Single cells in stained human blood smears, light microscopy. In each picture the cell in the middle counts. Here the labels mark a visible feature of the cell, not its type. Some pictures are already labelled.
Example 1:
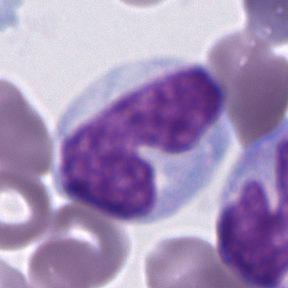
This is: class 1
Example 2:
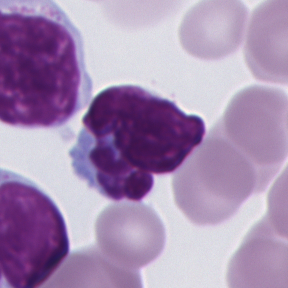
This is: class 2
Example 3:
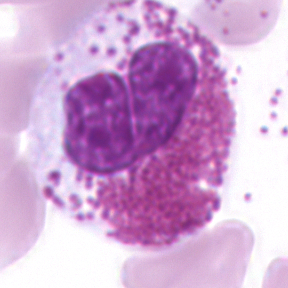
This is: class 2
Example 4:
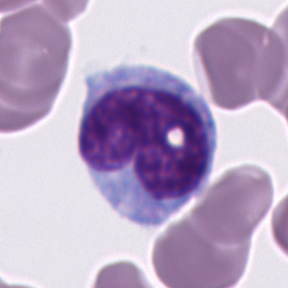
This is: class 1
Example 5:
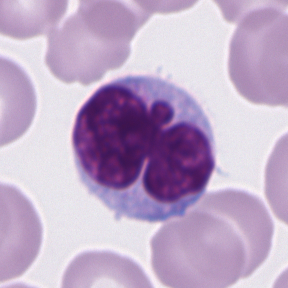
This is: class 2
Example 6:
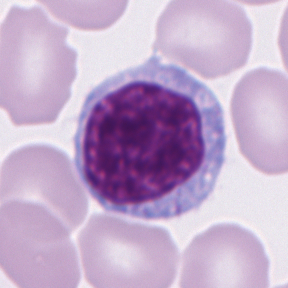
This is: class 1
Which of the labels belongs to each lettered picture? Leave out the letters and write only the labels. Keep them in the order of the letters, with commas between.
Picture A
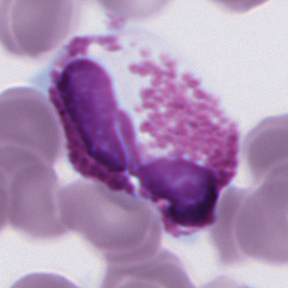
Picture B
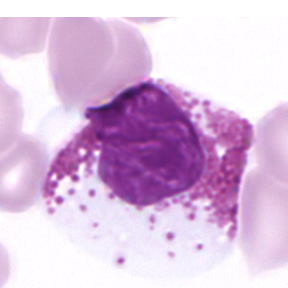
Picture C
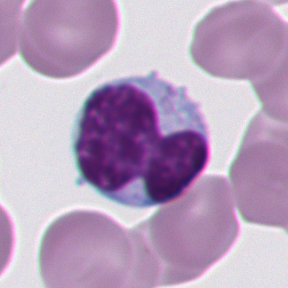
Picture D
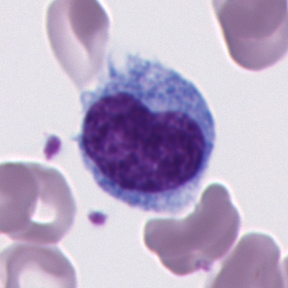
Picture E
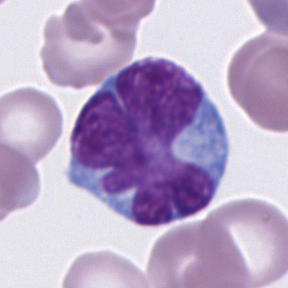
class 2, class 1, class 2, class 1, class 2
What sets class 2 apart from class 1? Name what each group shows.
class 2, lobed nucleus; class 1, single compact nucleus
